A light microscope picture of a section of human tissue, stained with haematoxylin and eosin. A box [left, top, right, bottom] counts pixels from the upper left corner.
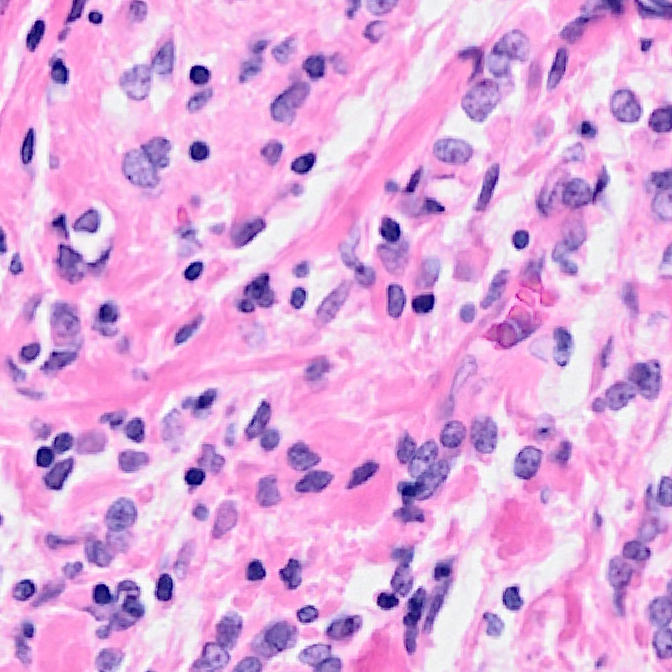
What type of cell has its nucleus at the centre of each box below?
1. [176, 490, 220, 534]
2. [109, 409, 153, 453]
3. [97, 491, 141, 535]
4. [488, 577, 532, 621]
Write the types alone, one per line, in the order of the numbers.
lymphocyte
lymphocyte
carcinoma cell
lymphocyte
